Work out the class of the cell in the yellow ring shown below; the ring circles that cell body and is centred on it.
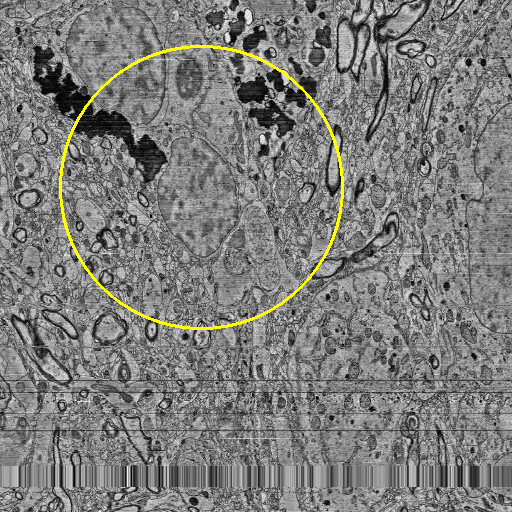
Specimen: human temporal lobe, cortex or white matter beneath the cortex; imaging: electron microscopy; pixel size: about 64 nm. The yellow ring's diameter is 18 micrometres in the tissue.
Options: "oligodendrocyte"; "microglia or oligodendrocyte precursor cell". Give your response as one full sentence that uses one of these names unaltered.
The body ringed in yellow, right at the ring's centre, is that of an oligodendrocyte.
